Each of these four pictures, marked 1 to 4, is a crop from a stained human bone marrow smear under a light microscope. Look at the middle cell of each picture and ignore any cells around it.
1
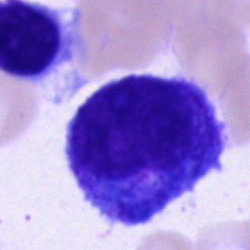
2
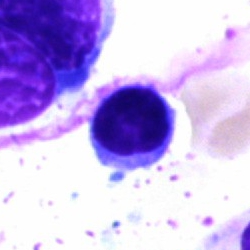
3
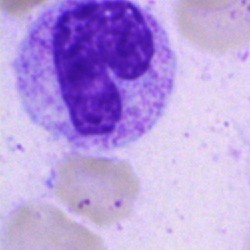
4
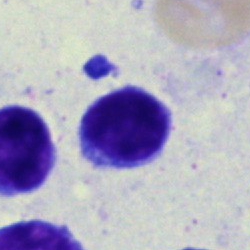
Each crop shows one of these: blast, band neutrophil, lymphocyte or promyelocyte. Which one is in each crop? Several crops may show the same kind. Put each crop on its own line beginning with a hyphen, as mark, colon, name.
- 1: promyelocyte
- 2: lymphocyte
- 3: band neutrophil
- 4: lymphocyte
